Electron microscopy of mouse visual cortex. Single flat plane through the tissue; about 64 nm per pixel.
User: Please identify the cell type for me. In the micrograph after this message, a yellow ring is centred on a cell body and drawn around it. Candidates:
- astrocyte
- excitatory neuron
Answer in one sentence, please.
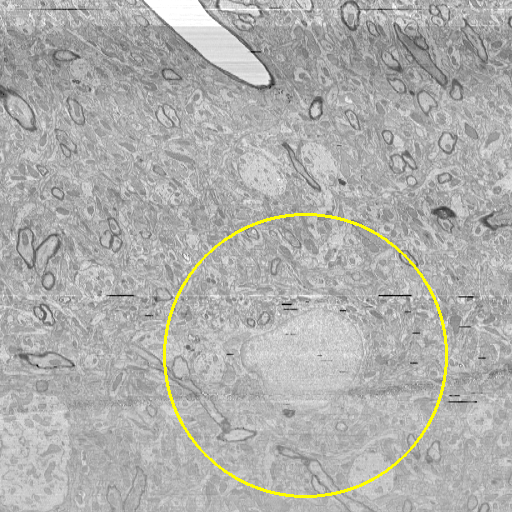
The ring is drawn around the cell body of an astrocyte.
